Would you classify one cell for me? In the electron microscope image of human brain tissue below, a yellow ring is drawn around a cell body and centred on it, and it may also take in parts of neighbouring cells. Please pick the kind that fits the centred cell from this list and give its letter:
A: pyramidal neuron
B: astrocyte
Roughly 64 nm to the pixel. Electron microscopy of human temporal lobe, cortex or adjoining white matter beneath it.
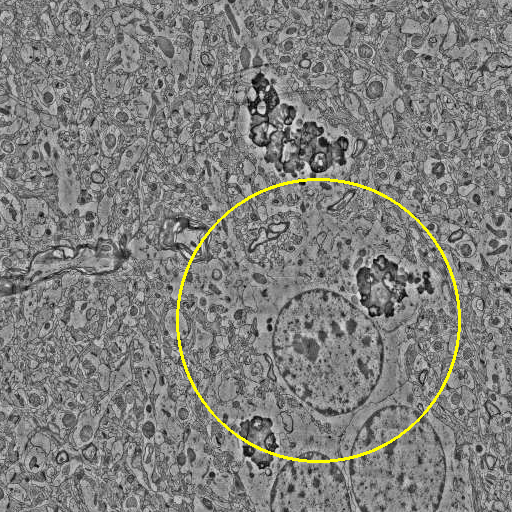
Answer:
B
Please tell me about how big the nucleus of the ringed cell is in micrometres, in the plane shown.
Approximately 8 x 7 micrometres in this plane.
